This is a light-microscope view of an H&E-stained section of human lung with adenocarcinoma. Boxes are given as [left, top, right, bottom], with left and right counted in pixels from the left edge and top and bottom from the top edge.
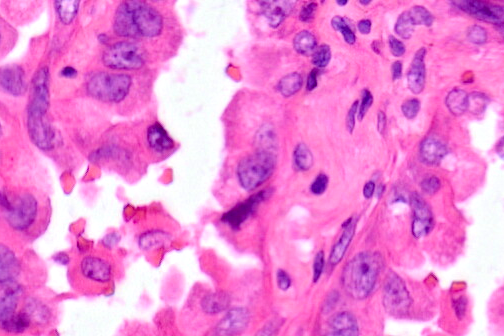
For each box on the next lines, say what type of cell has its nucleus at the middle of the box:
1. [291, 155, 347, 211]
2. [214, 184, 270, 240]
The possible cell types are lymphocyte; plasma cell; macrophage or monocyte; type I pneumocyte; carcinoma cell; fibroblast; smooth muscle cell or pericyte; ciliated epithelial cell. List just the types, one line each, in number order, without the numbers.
lymphocyte
carcinoma cell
